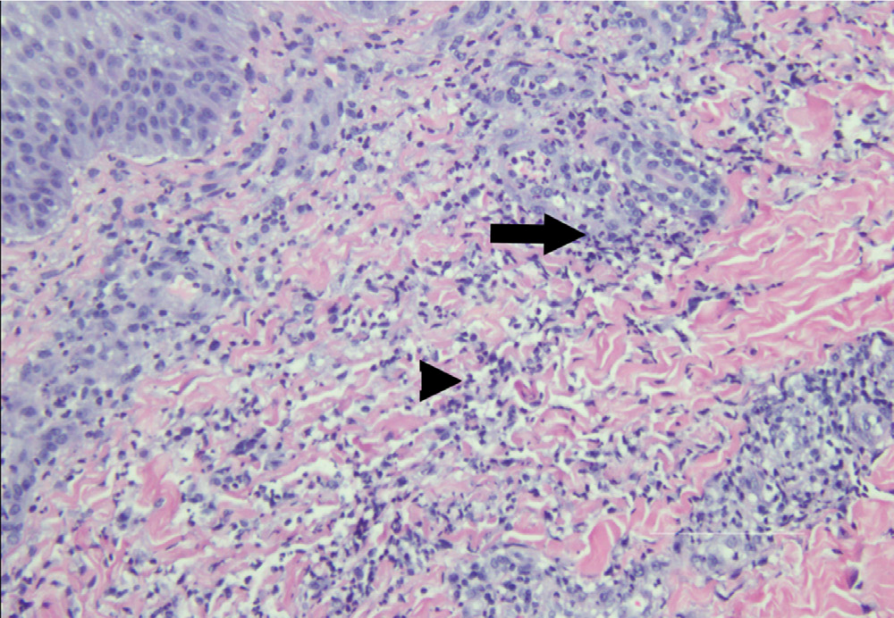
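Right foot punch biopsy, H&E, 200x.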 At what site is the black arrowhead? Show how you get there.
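Interstitial. The arrowhead points to scattered dark nuclei spread between pink collagen bundles. These cells are not gathered around a vessel.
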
